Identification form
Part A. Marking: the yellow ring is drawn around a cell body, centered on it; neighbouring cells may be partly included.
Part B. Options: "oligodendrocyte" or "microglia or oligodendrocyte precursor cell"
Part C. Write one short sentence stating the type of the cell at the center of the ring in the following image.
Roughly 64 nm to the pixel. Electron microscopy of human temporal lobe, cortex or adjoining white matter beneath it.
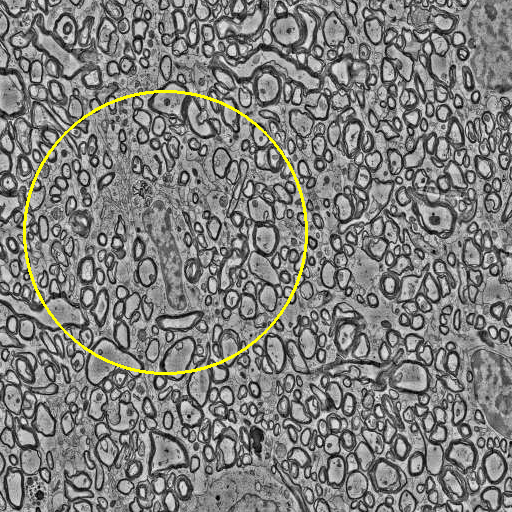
The center of the ring holds a microglial cell or oligodendrocyte precursor cell.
